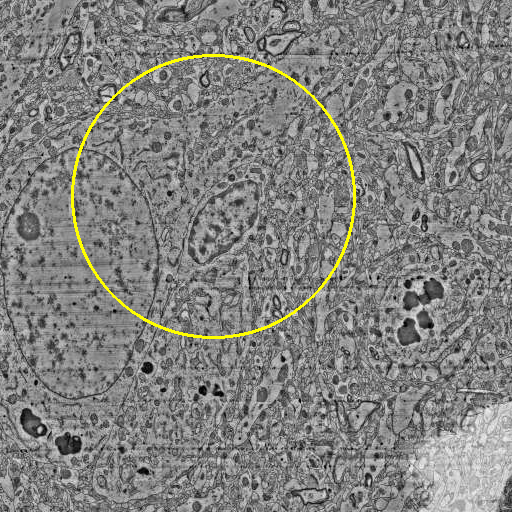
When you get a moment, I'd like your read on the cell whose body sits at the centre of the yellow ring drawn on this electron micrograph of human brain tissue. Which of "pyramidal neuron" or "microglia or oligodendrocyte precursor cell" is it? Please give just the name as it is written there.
microglia or oligodendrocyte precursor cell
